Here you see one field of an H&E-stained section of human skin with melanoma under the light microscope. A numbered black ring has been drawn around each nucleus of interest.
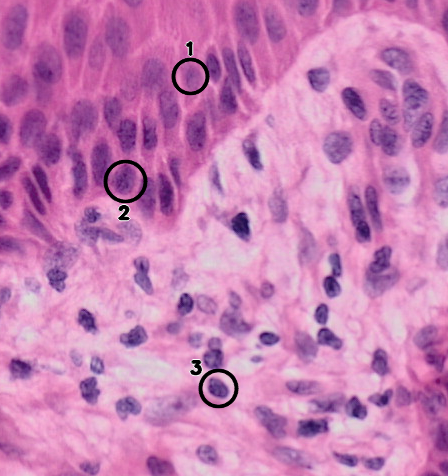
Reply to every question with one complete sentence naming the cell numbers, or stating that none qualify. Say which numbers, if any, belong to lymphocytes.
Across all the numbered cells, only number 3 is a lymphocyte.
